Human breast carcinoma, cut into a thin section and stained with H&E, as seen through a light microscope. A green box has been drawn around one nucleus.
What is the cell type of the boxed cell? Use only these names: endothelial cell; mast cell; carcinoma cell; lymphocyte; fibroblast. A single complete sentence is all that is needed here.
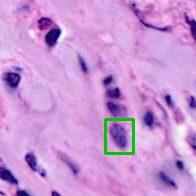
On this particular slide, the boxed cell is a mast cell.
